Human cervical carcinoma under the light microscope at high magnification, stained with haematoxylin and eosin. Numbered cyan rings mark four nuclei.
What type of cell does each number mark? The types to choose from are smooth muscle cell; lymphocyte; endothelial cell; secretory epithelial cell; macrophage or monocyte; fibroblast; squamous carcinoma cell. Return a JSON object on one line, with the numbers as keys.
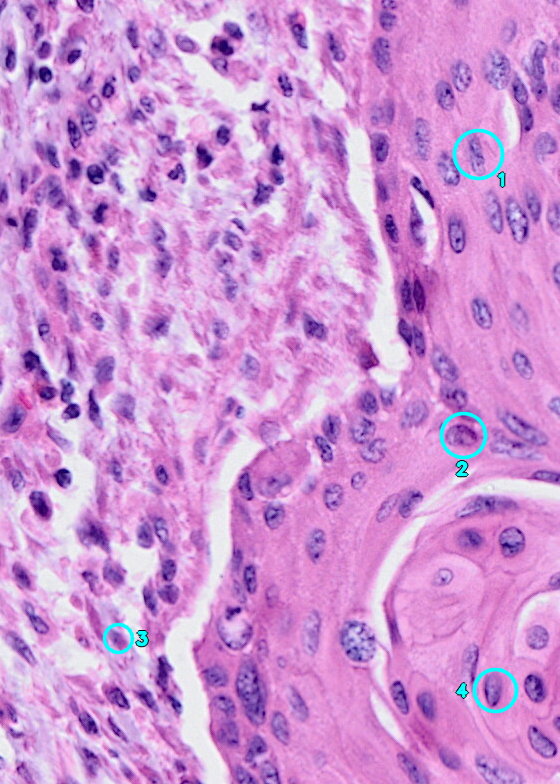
{"1": "squamous carcinoma cell", "2": "squamous carcinoma cell", "3": "fibroblast", "4": "squamous carcinoma cell"}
